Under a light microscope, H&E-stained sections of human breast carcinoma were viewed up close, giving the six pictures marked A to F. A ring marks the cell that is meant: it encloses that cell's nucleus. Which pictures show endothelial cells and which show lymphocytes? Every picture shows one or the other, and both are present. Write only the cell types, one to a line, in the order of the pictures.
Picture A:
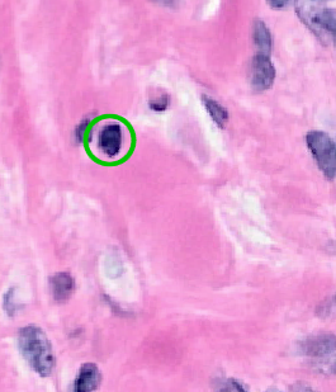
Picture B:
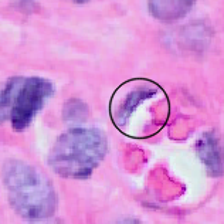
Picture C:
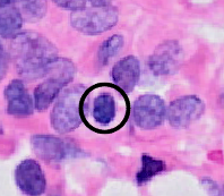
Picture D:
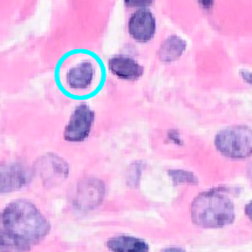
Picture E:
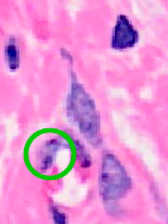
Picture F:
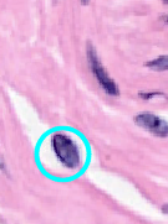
lymphocyte
endothelial cell
lymphocyte
lymphocyte
endothelial cell
lymphocyte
